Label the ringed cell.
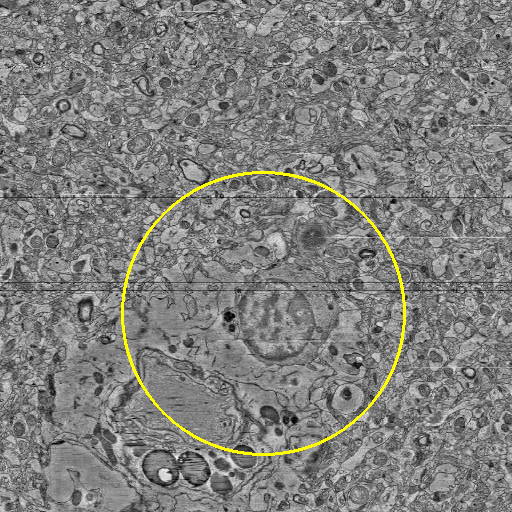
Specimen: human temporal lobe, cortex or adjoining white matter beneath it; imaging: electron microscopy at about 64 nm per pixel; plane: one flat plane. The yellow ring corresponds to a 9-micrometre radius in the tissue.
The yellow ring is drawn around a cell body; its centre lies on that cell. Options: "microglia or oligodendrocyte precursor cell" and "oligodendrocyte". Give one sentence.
The ringed cell is an oligodendrocyte.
